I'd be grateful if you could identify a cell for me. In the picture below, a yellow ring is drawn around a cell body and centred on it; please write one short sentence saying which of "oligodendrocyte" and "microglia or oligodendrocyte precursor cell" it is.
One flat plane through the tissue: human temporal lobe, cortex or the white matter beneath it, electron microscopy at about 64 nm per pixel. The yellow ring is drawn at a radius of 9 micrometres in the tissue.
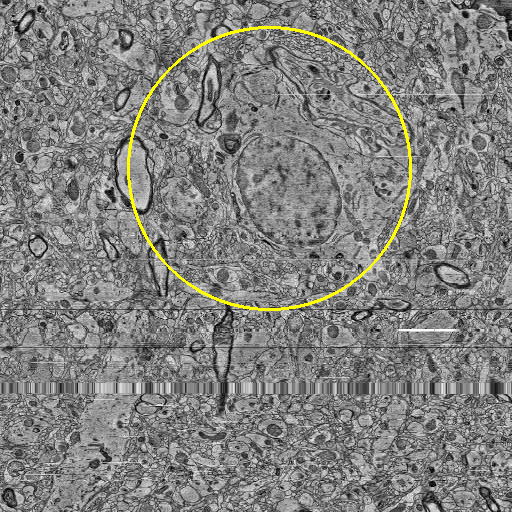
The cell under the ring's centre is a microglial cell or oligodendrocyte precursor cell.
